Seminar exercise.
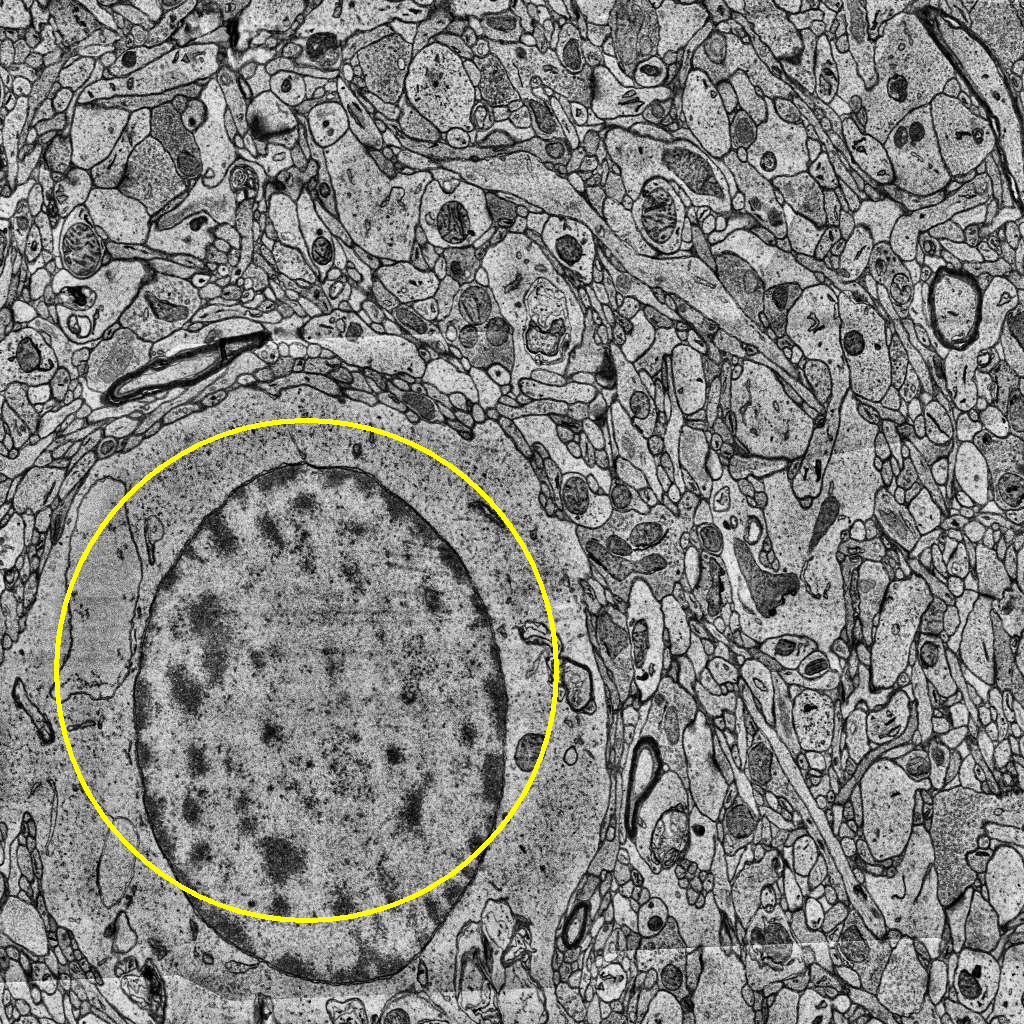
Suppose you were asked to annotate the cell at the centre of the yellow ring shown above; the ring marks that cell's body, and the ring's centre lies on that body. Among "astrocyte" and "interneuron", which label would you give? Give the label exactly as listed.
astrocyte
